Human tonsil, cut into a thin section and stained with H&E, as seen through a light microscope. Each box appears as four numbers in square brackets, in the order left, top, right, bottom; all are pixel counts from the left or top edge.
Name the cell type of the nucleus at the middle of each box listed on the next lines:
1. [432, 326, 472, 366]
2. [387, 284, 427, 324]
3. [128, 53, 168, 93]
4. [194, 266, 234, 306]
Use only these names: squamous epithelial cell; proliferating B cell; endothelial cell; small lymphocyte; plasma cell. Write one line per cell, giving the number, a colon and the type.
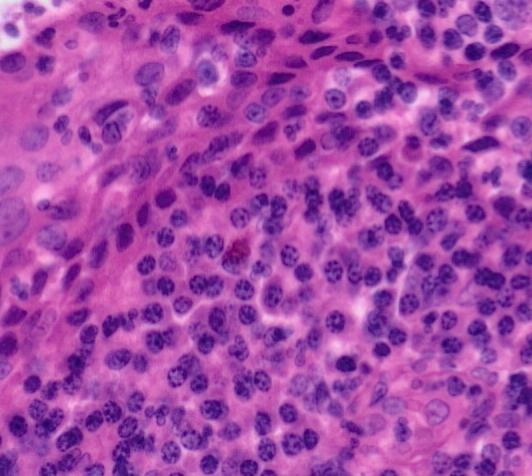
1: plasma cell
2: plasma cell
3: squamous epithelial cell
4: plasma cell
